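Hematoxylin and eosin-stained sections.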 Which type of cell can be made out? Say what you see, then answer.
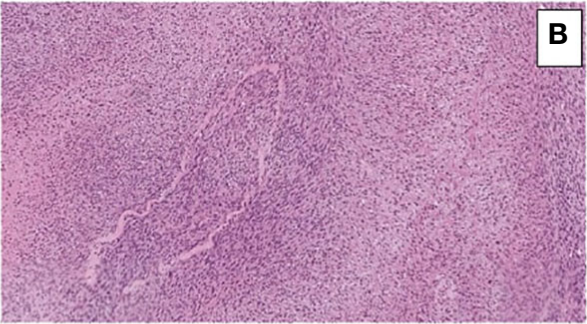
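Uniform spindle cells. Densely packed elongated cells with dark, slender nuclei. A cellular cuff of these cells surrounds a vessel in the centre.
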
